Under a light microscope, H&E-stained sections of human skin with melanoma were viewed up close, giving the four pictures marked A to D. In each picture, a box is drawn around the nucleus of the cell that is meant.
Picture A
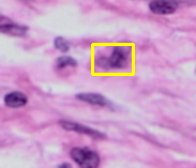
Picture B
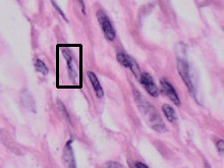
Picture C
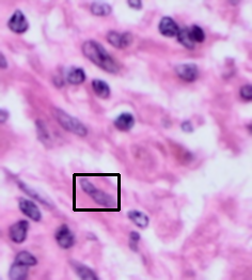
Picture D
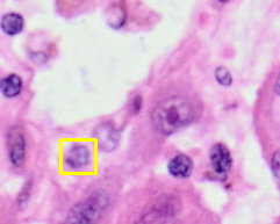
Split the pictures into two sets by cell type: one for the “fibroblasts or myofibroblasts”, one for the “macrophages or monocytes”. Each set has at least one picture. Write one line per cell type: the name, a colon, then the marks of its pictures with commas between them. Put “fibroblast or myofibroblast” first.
fibroblast or myofibroblast: B
macrophage or monocyte: A, C, D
